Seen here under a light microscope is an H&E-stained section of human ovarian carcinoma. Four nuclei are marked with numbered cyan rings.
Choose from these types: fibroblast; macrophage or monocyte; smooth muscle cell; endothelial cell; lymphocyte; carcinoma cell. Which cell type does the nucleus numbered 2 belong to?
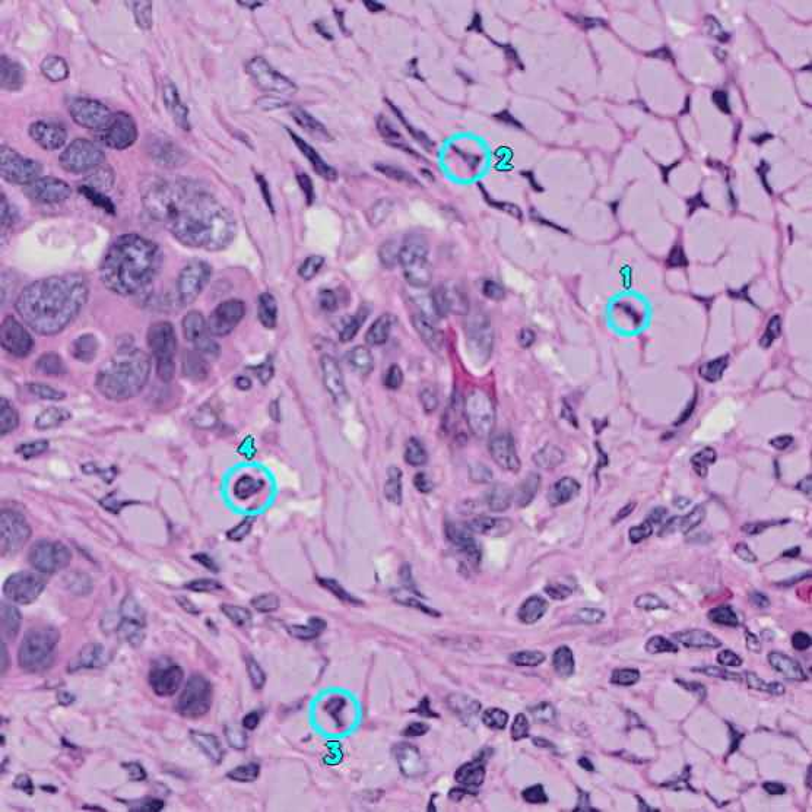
fibroblast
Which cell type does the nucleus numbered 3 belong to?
fibroblast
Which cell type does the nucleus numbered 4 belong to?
lymphocyte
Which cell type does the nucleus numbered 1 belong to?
fibroblast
